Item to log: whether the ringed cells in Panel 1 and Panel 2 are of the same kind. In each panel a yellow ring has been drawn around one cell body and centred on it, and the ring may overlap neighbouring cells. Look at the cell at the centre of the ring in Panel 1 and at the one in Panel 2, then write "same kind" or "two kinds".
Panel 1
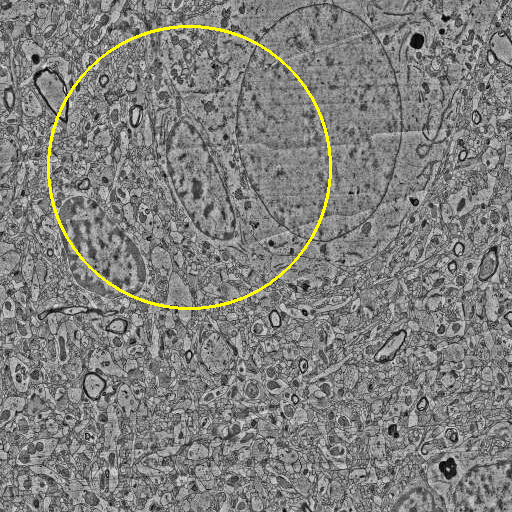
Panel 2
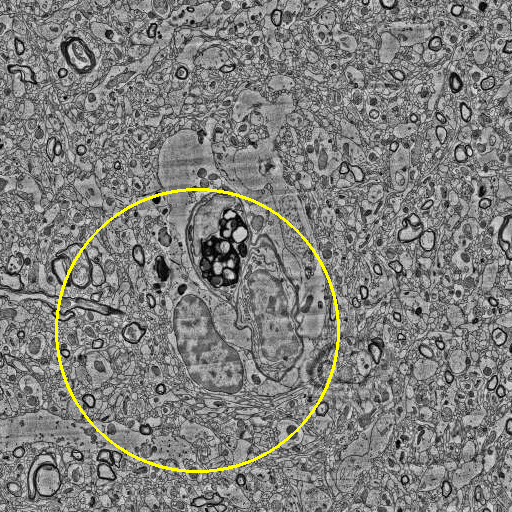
same kind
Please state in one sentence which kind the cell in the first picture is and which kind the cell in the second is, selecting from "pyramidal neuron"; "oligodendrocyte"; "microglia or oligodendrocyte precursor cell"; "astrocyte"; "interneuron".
Both rings mark a microglial cell or oligodendrocyte precursor cell, one in each picture.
